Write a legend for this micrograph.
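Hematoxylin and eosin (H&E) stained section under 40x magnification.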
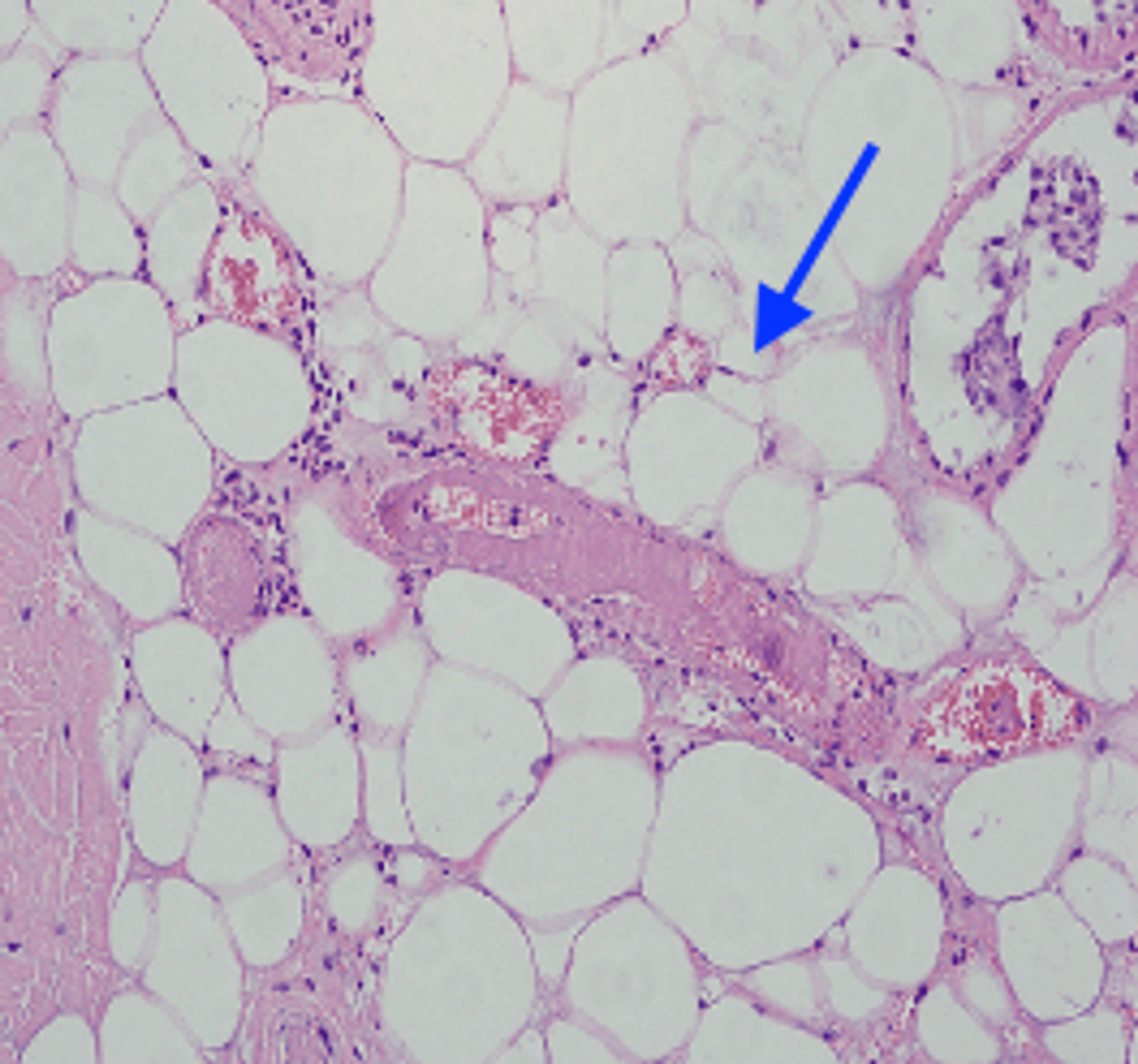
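This is fat tissue made of sheets of mature adipocytes. Only a thin pink rim of cytoplasm remains around it. The cells vary somewhat in size and are tightly packed, pressing flat faces against one another. Thin pink fibrous bands run between groups of fat cells. These bands carry small blood vessels filled with red blood cells and scattered small dark-purple nuclei.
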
